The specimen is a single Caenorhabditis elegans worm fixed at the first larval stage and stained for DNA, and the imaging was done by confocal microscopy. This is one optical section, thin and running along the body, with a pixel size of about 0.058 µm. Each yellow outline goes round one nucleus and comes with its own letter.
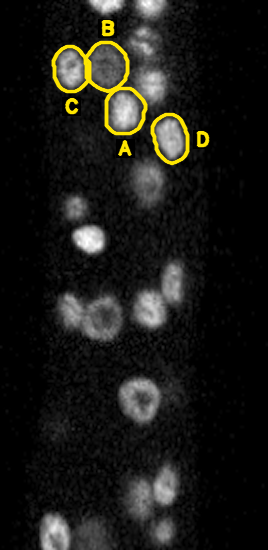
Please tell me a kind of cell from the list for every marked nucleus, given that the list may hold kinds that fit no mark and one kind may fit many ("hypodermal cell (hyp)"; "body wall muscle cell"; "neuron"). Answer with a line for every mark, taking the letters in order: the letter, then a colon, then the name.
A: neuron
B: hypodermal cell (hyp)
C: body wall muscle cell
D: body wall muscle cell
